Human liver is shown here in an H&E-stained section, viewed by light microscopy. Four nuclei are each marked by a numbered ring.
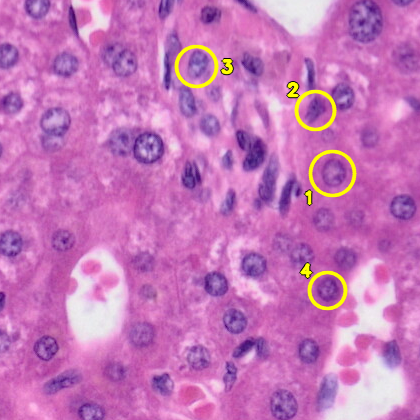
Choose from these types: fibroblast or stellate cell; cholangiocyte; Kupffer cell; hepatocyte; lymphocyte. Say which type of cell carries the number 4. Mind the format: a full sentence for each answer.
The cell to which the number 4 is assigned is a hepatocyte.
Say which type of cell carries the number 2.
The numeral 2 marks a fibroblast or stellate cell in this section.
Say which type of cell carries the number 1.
That cell with number 1 is a hepatocyte.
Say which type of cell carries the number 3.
Corresponding to a cholangiocyte is the cell labelled 3.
